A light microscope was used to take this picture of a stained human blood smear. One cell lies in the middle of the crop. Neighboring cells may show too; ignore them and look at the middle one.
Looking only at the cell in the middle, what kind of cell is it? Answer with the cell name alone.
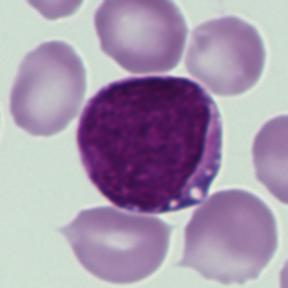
blast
